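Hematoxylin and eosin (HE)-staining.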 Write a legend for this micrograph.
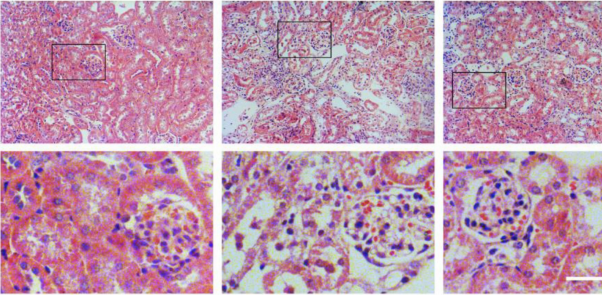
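These are sections of kidney cortex, with round glomeruli sitting among many tubules lined by pink-staining epithelial cells. In the other fields the tubular architecture is disturbed: the epithelium looks flattened or broken, the lumens are dilated or irregular, and more purple nuclei crowd the spaces between tubules. These interstitial nuclei and loss of orderly tubules are most marked in the middle field.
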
